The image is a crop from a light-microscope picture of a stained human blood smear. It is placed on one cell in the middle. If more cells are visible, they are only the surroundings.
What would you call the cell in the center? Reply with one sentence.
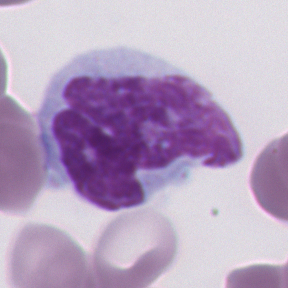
Classification of the middle cell gives a monocyte.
